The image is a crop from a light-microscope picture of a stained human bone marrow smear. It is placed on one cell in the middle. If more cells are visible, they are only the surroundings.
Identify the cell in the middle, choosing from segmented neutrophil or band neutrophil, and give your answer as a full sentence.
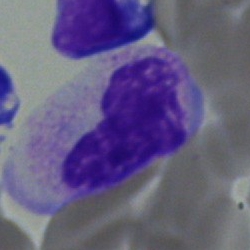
The cell nearest the centre of this crop is a band neutrophil.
